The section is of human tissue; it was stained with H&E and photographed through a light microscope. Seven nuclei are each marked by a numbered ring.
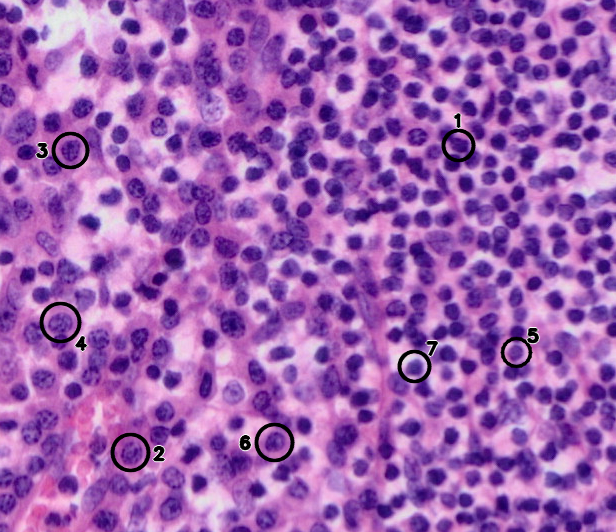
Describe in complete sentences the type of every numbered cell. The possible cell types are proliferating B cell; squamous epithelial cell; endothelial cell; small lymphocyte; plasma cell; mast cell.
Cell 1 is a small lymphocyte, cell 2 is a plasma cell, cell 3 is a plasma cell, cell 4 is a plasma cell, cell 5 is a small lymphocyte, cell 6 is a plasma cell and cell 7 is a small lymphocyte.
